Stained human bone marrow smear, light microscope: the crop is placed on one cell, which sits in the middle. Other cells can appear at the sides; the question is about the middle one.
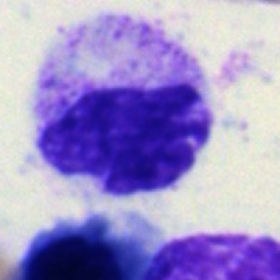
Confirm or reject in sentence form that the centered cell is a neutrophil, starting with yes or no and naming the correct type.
Yes, the cell that is in the middle is a neutrophil.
